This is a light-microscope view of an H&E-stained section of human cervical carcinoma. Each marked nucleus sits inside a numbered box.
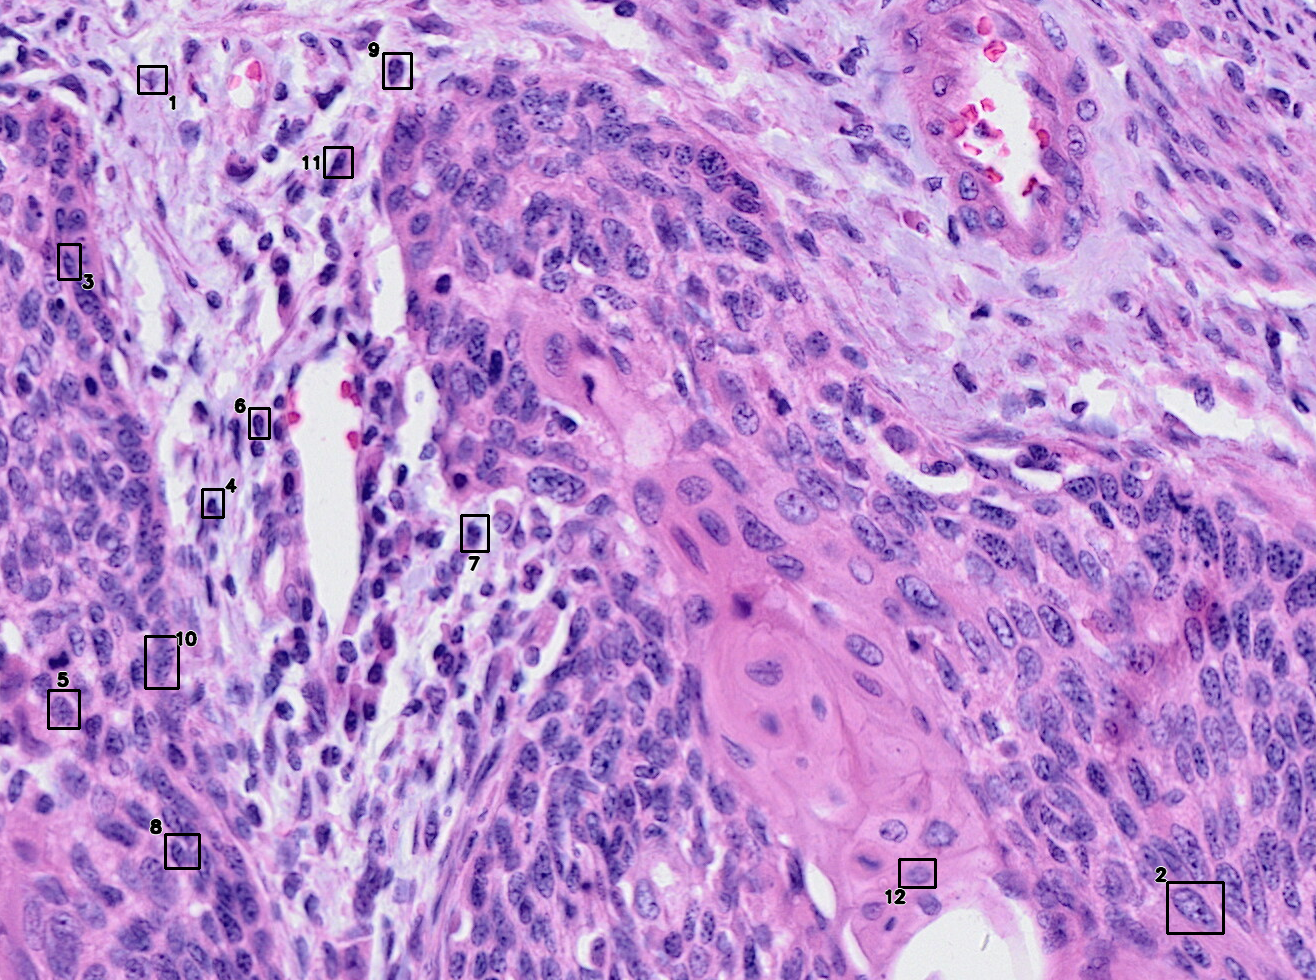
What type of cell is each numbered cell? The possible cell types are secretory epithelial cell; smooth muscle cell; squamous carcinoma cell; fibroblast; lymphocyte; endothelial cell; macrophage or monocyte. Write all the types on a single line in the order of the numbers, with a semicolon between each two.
fibroblast; squamous carcinoma cell; squamous carcinoma cell; lymphocyte; squamous carcinoma cell; lymphocyte; lymphocyte; squamous carcinoma cell; lymphocyte; squamous carcinoma cell; lymphocyte; squamous carcinoma cell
